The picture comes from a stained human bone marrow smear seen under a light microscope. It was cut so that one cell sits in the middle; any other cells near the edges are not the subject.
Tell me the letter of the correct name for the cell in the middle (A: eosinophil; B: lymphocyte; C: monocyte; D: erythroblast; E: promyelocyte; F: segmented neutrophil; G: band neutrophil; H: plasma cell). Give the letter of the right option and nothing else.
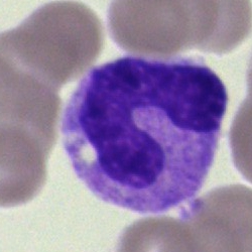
G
